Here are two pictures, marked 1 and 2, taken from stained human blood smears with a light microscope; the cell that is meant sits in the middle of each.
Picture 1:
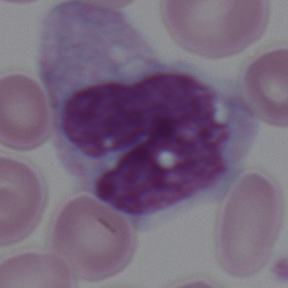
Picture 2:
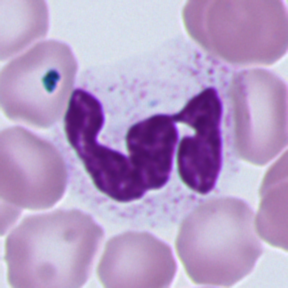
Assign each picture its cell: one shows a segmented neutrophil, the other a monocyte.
1: monocyte
2: segmented neutrophil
